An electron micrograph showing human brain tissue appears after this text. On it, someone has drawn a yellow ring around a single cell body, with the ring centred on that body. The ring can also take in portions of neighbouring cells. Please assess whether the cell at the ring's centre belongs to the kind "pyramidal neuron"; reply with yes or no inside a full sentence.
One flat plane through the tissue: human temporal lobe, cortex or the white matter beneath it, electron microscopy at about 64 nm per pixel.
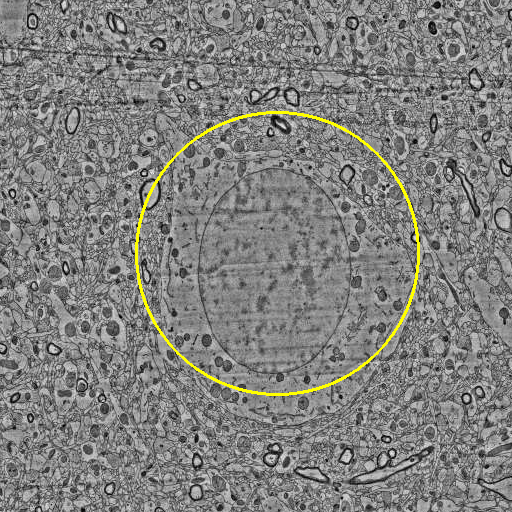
Yes, in this micrograph the cell at the centre of the ring is of that kind.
